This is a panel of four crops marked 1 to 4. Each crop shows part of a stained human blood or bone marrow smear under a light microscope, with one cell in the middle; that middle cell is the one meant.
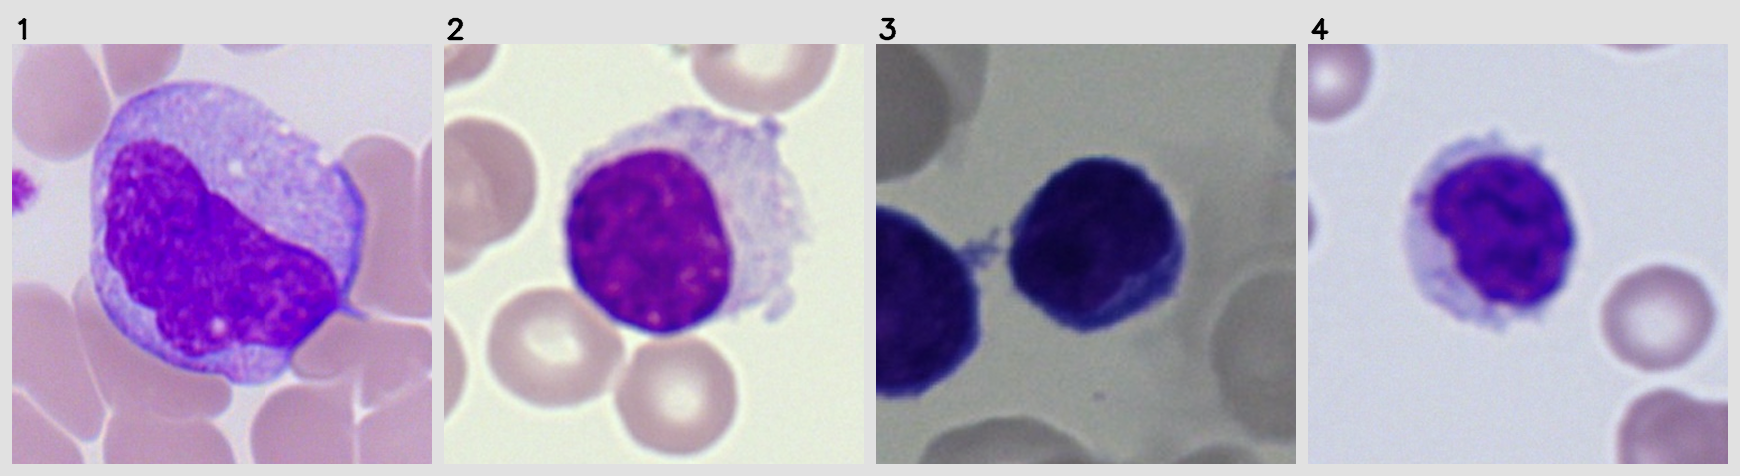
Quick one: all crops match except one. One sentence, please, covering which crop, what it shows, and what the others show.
In every crop except crop 1, which shows a monocyte, lymphocytes are shown.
